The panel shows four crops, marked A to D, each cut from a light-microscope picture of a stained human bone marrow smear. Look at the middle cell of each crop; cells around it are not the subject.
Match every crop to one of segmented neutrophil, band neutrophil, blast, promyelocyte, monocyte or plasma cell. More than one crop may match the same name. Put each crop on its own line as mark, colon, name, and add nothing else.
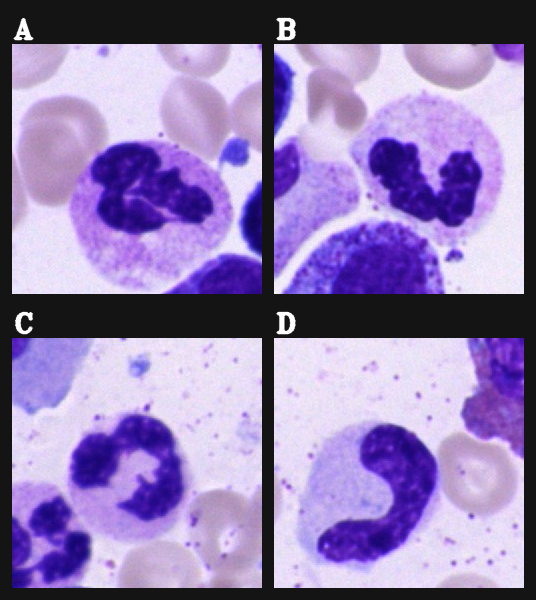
A: segmented neutrophil
B: segmented neutrophil
C: segmented neutrophil
D: band neutrophil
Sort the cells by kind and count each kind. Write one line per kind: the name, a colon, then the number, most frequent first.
segmented neutrophil: 3
band neutrophil: 1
